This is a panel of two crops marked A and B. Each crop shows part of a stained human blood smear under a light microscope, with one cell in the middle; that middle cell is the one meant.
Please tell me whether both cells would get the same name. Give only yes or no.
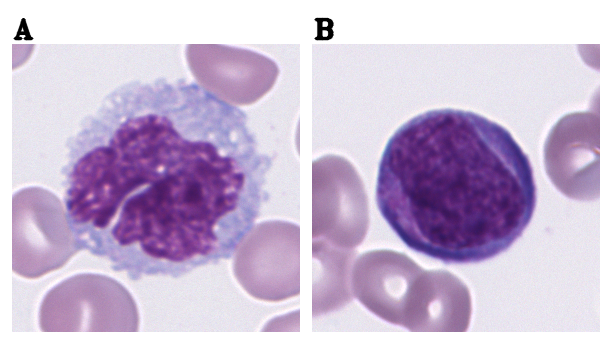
no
